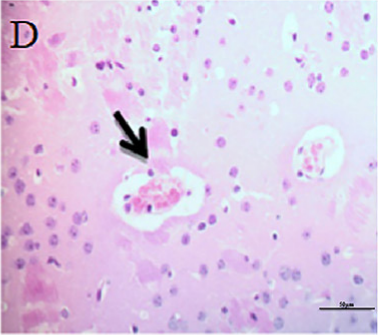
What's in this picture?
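This section of cerebral tissue shows a blood vessel with red blood cells in its lumen surrounded by a wide, clear space, a picture of edema around the vessel. The surrounding tissue is a pale pink, finely fibrillar neuropil. A second vessel at the right also lies within a pale clear space. Patches of the neuropil stain a deeper pink than the rest.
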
